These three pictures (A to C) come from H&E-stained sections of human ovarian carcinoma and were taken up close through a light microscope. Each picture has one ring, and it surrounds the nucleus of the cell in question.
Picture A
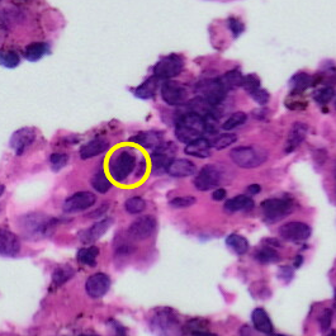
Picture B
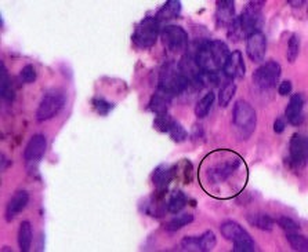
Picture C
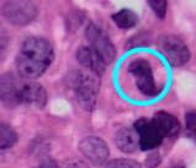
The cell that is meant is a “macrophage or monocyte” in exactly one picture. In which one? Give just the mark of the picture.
C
